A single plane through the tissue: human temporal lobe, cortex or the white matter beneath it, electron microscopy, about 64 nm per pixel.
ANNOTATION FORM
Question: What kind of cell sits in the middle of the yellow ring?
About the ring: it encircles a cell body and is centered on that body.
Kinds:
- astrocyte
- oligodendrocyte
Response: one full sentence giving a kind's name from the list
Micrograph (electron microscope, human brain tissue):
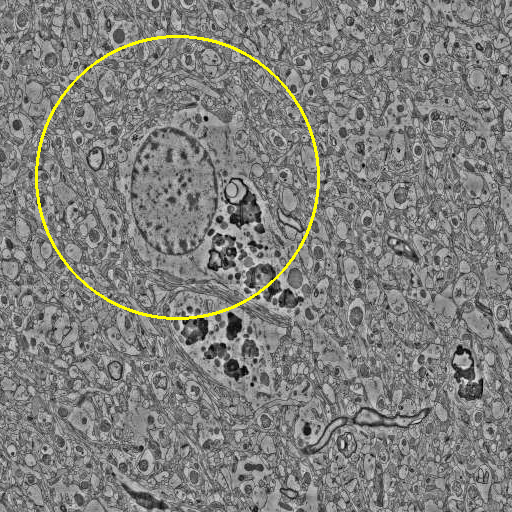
The kind of cell found at the center of the yellow ring in the micrograph is an astrocyte.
